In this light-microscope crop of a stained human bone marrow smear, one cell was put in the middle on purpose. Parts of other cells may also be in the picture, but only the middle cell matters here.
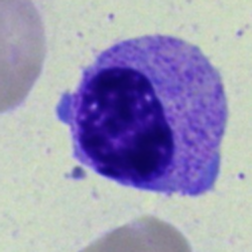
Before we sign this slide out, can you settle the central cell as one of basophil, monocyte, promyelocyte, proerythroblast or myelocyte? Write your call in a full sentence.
In this smear crop, the middle cell is a myelocyte.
